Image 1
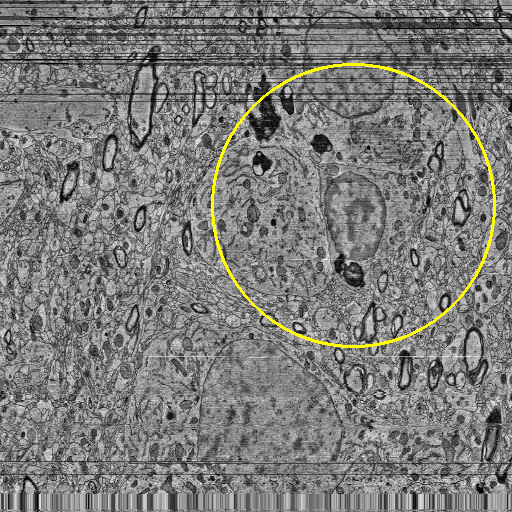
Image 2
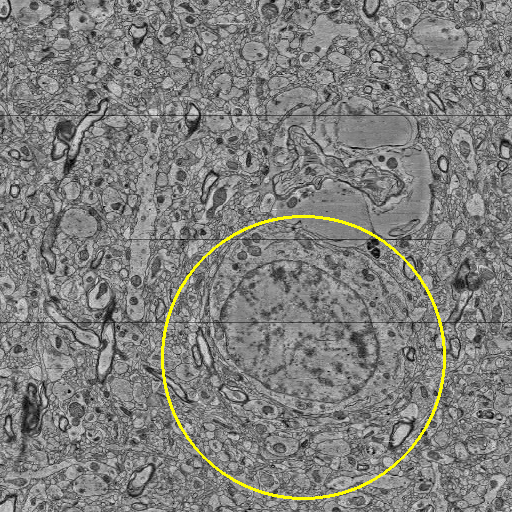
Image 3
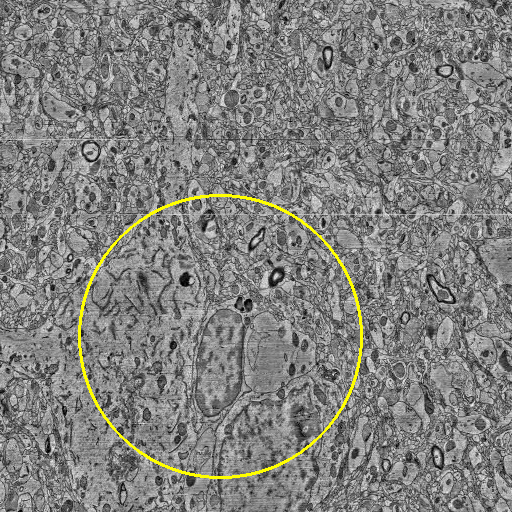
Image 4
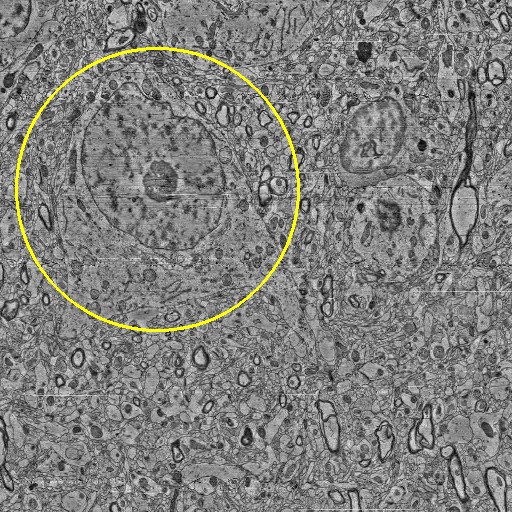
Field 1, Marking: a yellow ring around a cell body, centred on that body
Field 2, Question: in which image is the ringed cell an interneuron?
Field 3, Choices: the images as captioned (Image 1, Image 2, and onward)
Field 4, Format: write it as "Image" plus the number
Image 2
